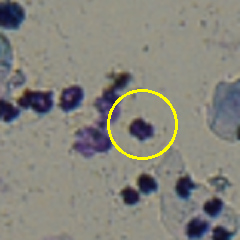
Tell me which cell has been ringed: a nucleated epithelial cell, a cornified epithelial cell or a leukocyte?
It is a leukocyte.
